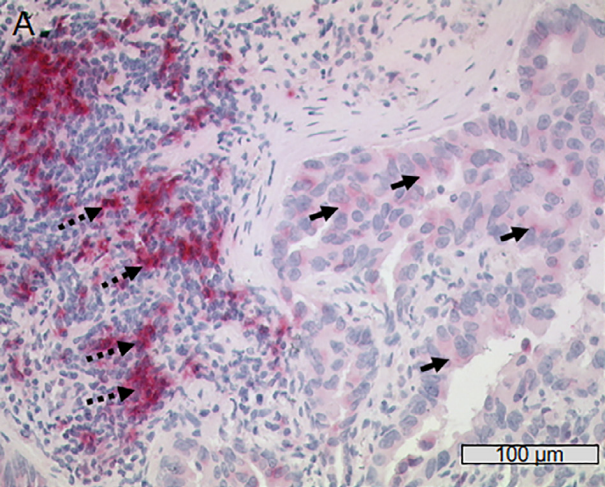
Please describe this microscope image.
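On the left lies a dense crowd of small round cells with dark blue compact nuclei, many of them with strong deep-red cytoplasmic staining forming clusters. A band of pale fibrous stroma with spindle nuclei separates them from the right side, where large cells with big oval vesicular nuclei and pale pink cytoplasm line gland-like spaces; only a few of these show faint red staining. This is tumour tissue with strongly stained infiltrating lymphocytes beside weakly stained glandular tumour cells.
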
